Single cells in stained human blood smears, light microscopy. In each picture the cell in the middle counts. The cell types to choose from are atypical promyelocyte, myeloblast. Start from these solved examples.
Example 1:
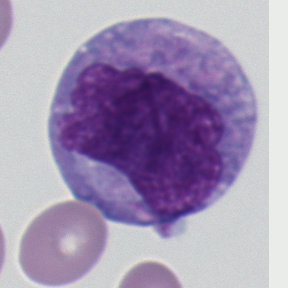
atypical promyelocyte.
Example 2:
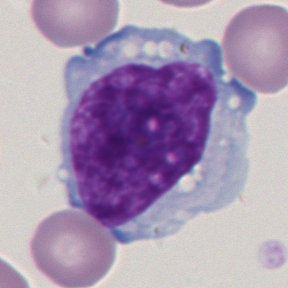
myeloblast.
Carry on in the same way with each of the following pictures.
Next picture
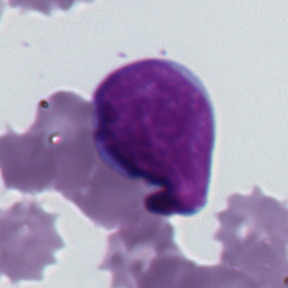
myeloblast.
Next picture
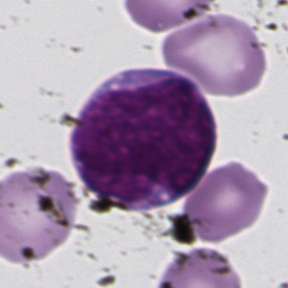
myeloblast.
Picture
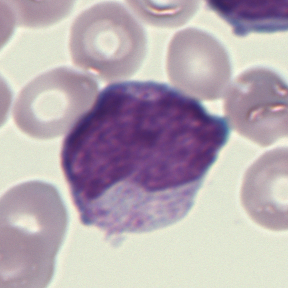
atypical promyelocyte.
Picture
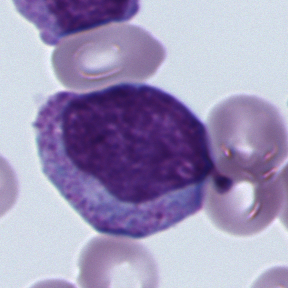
atypical promyelocyte.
